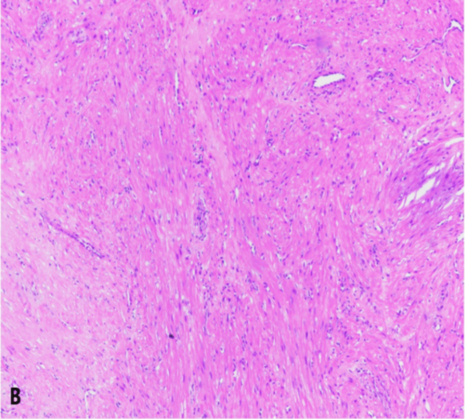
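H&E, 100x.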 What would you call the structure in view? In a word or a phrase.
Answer: Fascicles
